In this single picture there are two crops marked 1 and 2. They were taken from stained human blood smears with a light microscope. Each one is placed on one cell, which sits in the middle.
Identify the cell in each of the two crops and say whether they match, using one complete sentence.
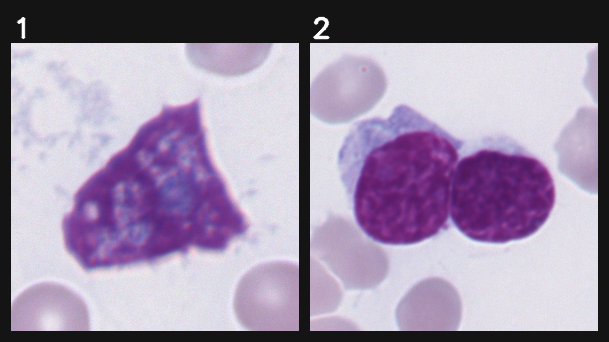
No, crop 1 is home to a smudge cell, and crop 2 to a myeloblast.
